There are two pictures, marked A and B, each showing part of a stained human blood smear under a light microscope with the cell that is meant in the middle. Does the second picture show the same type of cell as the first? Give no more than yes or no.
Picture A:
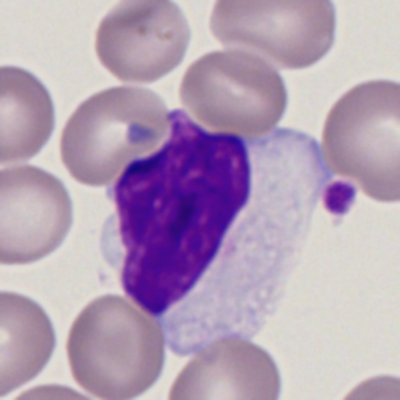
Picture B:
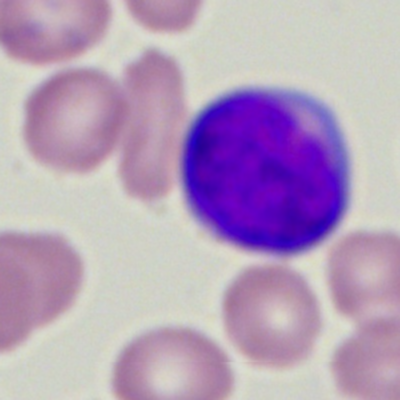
yes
